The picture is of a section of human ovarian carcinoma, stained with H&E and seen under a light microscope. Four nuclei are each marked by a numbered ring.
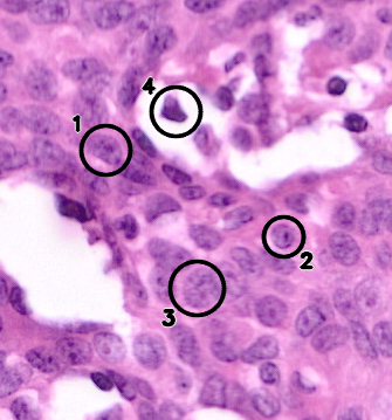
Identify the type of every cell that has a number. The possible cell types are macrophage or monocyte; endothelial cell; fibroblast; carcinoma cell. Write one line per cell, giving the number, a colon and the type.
1: carcinoma cell
2: macrophage or monocyte
3: carcinoma cell
4: carcinoma cell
